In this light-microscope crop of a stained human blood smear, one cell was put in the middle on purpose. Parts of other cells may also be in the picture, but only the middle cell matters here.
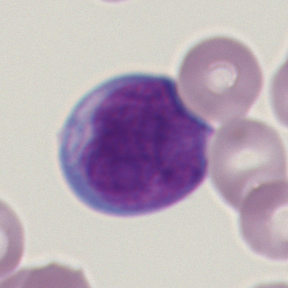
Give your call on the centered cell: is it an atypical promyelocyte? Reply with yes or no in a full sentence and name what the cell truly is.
No, the central cell is a myeloblast, not an atypical promyelocyte.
